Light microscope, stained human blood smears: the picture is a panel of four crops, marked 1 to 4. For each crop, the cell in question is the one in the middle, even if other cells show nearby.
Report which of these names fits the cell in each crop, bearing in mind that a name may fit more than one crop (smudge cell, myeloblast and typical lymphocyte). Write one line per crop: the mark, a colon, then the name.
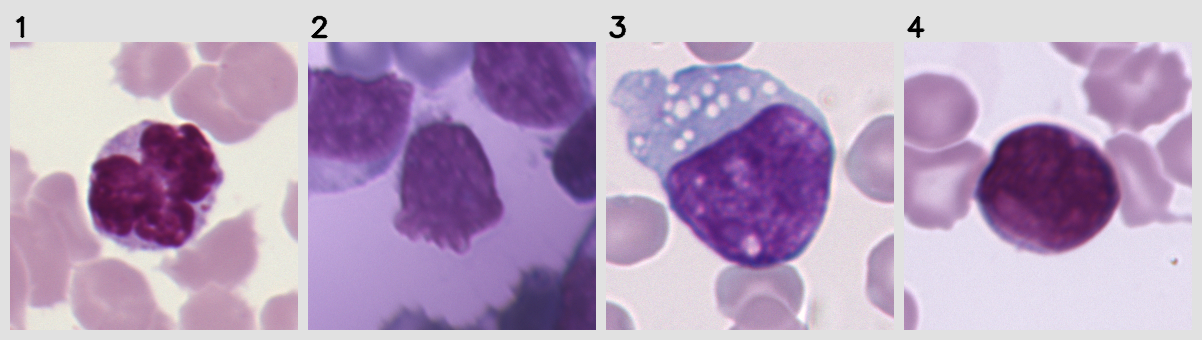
1: typical lymphocyte
2: smudge cell
3: myeloblast
4: myeloblast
